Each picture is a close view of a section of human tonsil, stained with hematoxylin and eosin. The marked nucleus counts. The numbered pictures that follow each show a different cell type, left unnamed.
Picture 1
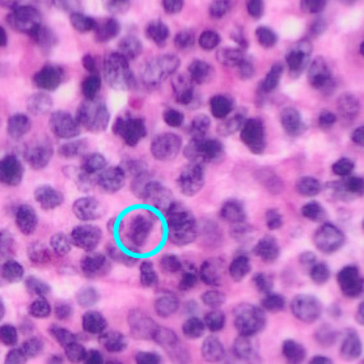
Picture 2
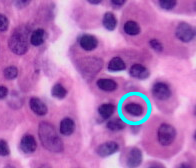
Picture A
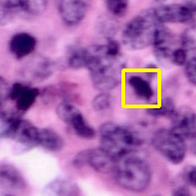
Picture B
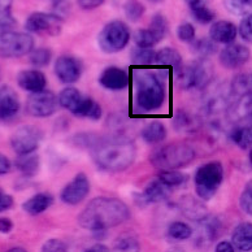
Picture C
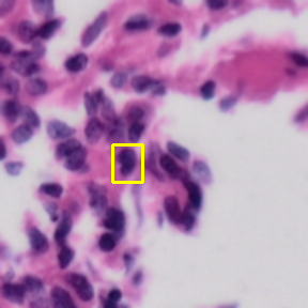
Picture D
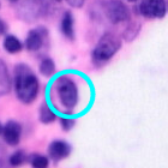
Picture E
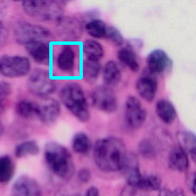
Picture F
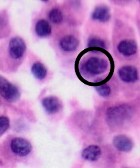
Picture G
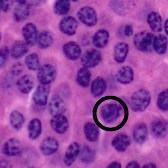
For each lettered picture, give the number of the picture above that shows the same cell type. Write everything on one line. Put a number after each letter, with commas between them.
A 1, B 1, C 1, D 1, E 1, F 2, G 2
